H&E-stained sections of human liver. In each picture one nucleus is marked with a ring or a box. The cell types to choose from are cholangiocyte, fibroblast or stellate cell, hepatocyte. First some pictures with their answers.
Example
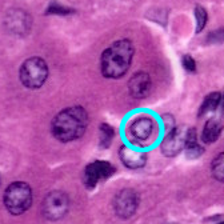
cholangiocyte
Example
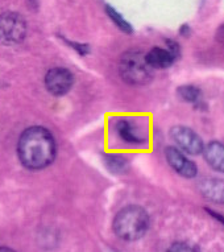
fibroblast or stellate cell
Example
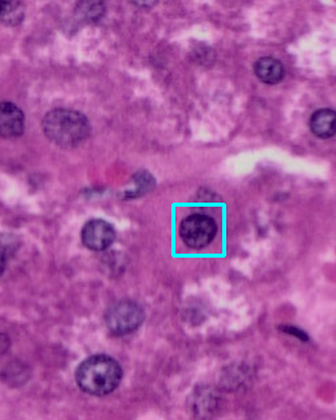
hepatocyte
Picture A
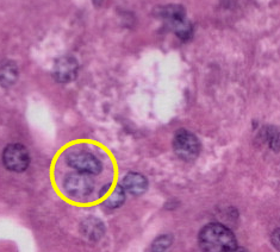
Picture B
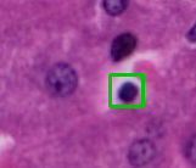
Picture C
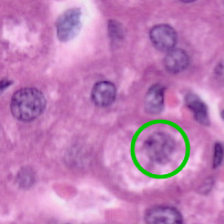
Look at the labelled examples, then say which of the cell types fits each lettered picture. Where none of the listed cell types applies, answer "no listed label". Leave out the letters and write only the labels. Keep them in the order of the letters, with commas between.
cholangiocyte, no listed label, hepatocyte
